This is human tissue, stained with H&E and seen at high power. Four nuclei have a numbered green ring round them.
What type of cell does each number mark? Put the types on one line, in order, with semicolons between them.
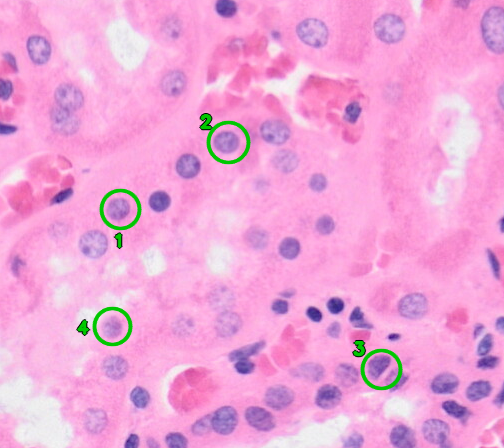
proximal tubule cell; proximal tubule cell; collecting duct cell; proximal tubule cell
